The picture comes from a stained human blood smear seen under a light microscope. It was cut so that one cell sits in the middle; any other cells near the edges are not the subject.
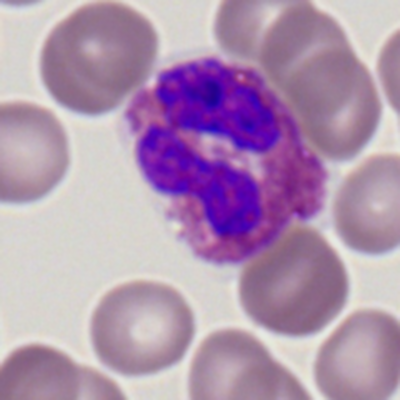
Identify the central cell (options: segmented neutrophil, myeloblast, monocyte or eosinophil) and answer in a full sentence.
The center cell of this crop is an eosinophil.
